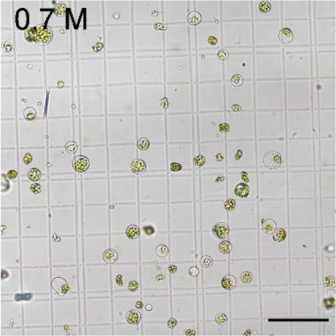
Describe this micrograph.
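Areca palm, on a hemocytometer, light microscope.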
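Most are round and packed with small green to yellow-green granules, while a number appear as larger, paler spheres with a thin clear outline. The cells vary in size and are not joined into tissue. Scattered small fragments lie between them.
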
